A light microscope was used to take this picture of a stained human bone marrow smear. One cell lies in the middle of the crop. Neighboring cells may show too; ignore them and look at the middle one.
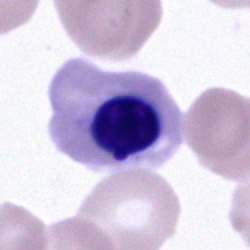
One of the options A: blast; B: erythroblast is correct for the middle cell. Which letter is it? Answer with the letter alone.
B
